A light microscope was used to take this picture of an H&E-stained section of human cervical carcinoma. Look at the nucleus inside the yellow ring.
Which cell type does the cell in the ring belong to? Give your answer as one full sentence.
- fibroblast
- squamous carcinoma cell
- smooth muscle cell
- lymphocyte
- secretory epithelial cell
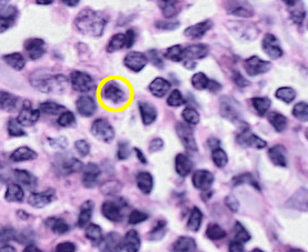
In cellular terms, the cell in the ring is a lymphocyte.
